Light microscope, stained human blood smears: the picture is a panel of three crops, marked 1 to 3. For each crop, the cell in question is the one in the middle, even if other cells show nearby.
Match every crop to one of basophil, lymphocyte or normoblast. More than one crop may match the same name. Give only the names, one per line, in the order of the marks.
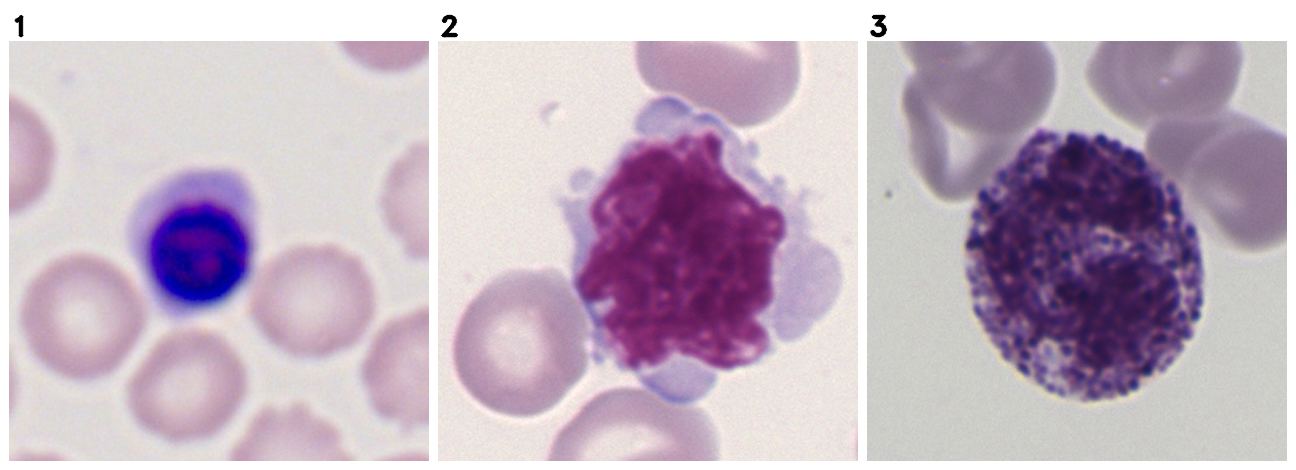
normoblast
lymphocyte
basophil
